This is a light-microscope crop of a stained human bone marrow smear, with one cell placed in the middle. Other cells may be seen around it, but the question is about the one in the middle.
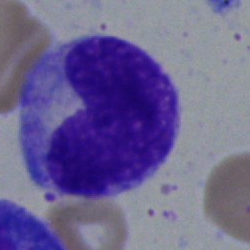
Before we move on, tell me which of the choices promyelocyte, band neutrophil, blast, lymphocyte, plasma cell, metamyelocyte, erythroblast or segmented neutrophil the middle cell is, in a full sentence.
In this crop, the cell at the very middle is a metamyelocyte.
